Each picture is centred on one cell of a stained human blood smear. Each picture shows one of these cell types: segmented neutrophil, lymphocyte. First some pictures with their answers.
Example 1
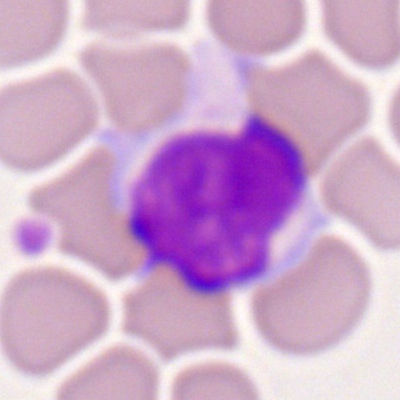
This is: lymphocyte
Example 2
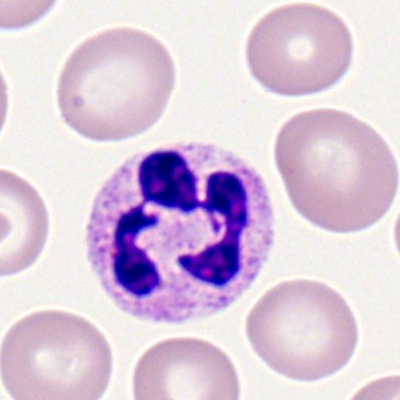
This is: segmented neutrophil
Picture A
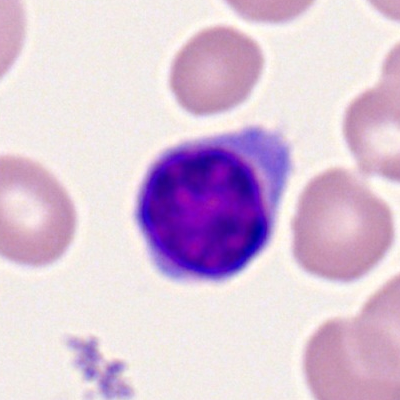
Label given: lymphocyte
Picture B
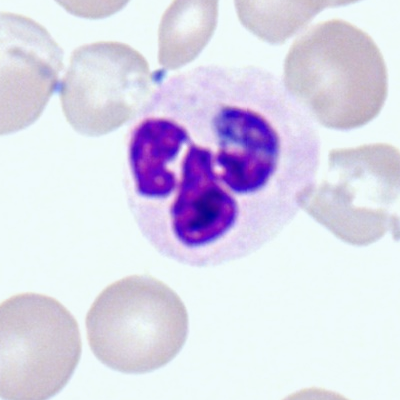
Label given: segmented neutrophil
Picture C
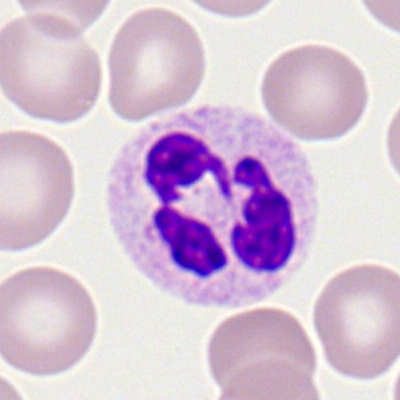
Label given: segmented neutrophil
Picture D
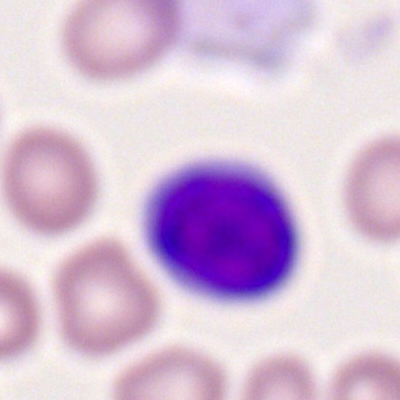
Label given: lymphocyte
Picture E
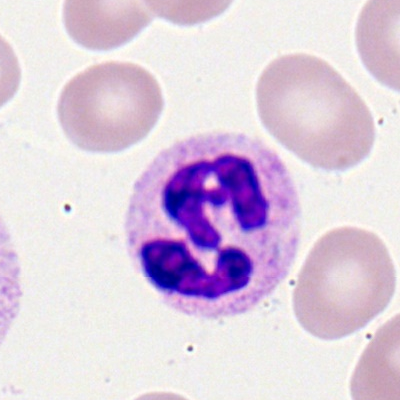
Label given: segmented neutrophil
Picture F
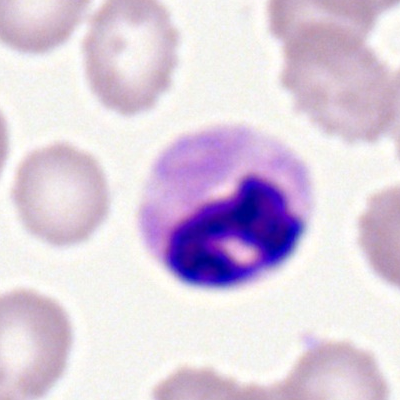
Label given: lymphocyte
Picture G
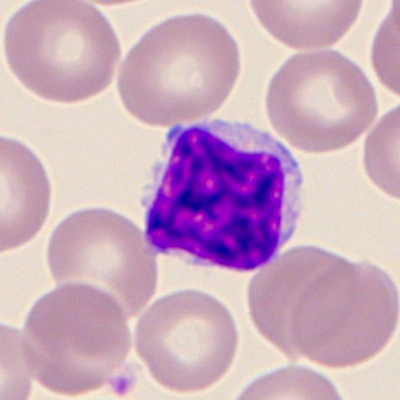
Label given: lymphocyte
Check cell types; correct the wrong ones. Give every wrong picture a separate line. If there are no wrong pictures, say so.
F: segmented neutrophil, not lymphocyte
